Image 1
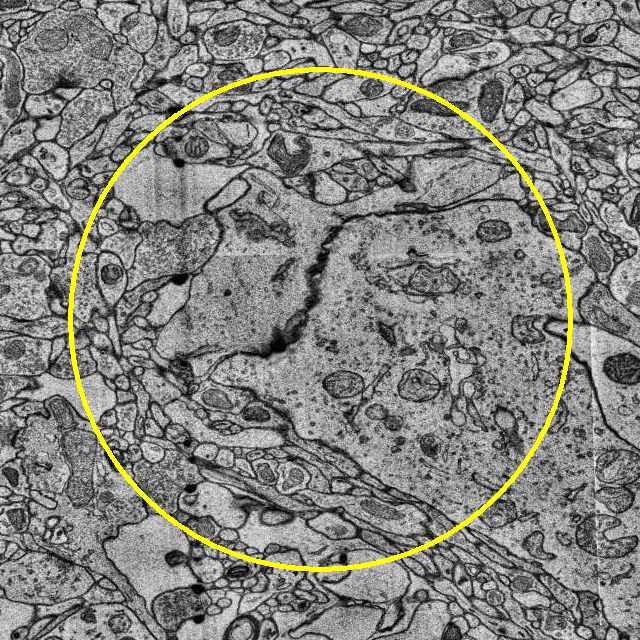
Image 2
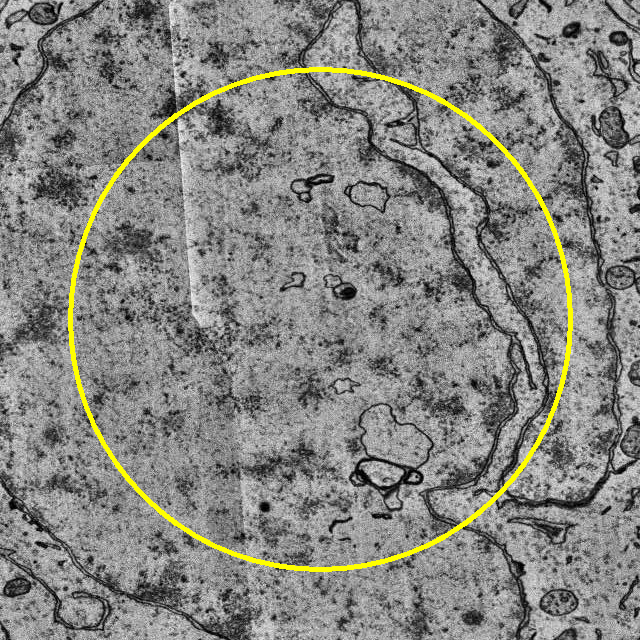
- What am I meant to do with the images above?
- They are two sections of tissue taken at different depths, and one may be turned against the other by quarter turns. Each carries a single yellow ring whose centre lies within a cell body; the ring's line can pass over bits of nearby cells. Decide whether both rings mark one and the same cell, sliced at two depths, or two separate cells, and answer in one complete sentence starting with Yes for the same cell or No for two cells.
No, marked by the two rings are two different cells.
